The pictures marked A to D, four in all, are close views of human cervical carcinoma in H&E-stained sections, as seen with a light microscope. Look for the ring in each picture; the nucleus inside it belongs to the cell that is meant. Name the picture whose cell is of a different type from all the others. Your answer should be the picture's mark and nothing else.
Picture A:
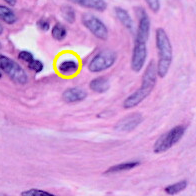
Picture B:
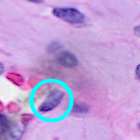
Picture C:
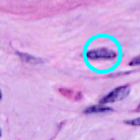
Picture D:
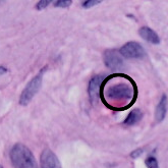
C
